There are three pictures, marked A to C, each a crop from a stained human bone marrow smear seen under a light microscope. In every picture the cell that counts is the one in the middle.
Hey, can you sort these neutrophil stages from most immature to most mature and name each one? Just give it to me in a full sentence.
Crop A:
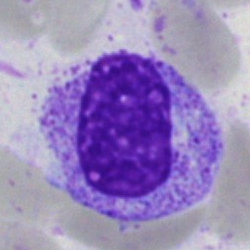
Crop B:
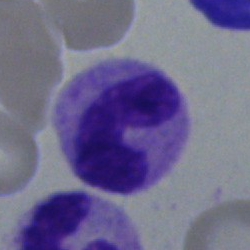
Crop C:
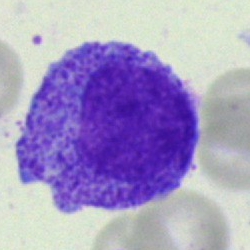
Ordering the crops by maturity, least first, gives crop C (a promyelocyte), crop A (a myelocyte) and crop B (a band neutrophil).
